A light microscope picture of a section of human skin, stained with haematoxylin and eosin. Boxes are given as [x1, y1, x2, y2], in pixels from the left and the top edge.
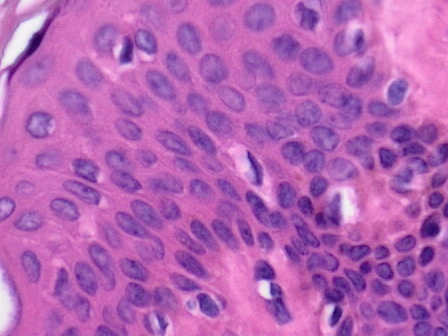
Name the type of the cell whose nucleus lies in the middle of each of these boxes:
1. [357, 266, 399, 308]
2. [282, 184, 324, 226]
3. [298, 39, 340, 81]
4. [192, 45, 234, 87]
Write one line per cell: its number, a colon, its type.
1: basal keratinocyte
2: basal keratinocyte
3: basal keratinocyte
4: suprabasal keratinocyte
